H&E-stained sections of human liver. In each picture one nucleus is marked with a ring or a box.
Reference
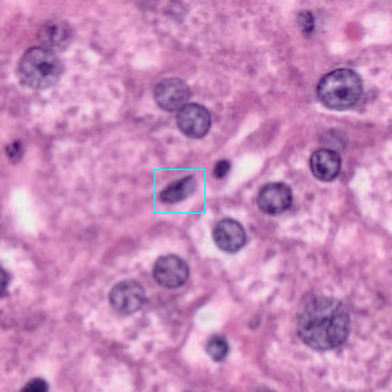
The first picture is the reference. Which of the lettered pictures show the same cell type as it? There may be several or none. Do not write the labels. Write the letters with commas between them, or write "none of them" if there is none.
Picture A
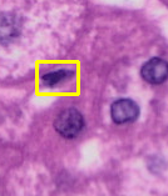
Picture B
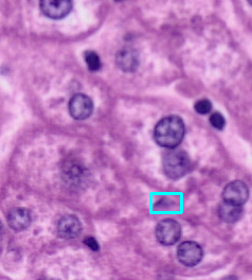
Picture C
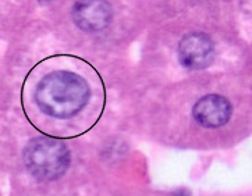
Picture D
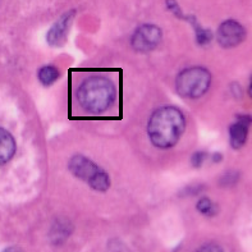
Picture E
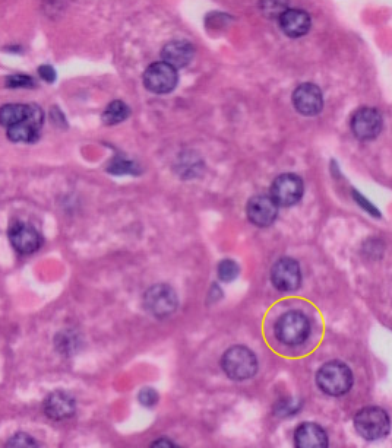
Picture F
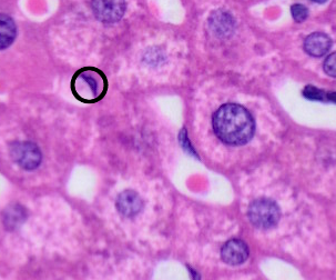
A, B, F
